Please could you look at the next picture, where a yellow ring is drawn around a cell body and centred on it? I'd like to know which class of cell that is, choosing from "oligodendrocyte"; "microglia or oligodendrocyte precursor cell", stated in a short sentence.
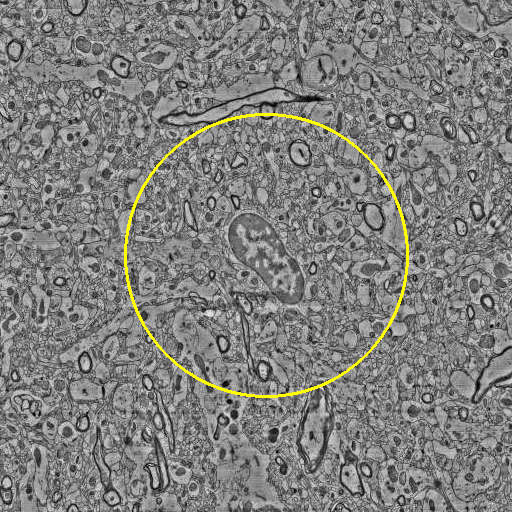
The ring's centre lies on a microglial cell or oligodendrocyte precursor cell.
